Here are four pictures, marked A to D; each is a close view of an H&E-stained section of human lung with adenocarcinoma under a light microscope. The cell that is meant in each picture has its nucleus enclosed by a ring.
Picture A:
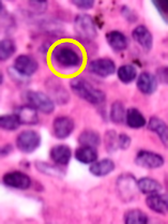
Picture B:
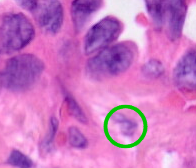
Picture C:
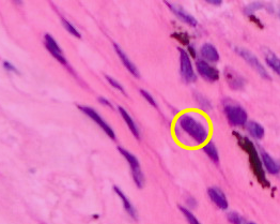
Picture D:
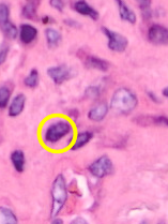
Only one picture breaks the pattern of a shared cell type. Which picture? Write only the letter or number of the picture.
B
